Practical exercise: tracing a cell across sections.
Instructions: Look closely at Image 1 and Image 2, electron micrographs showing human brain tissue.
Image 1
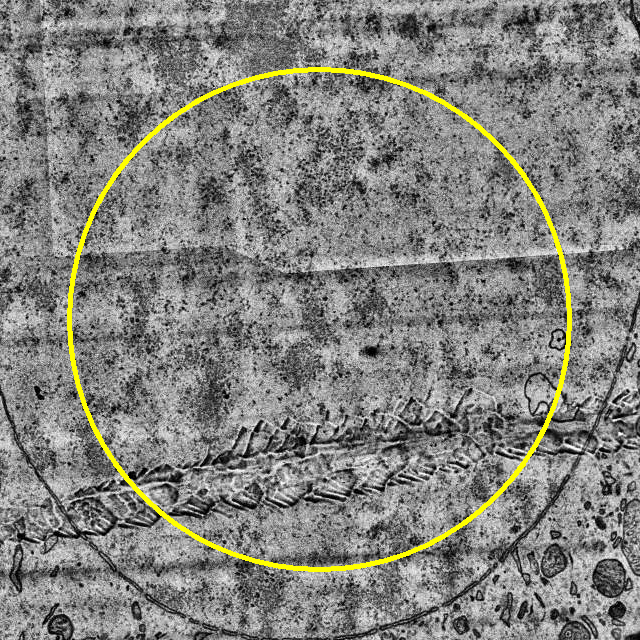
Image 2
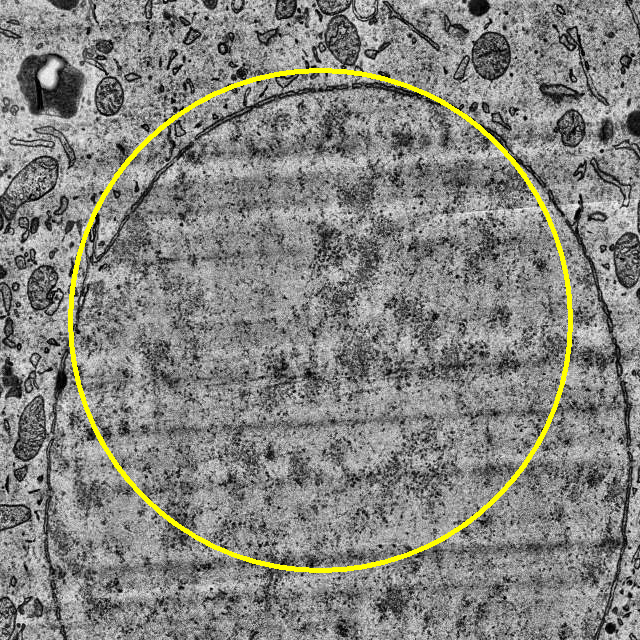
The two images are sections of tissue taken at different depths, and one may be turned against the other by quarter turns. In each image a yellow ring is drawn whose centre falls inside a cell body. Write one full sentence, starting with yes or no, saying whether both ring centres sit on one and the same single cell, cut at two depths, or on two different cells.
Yes, a single cell is the subject of both yellow rings.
